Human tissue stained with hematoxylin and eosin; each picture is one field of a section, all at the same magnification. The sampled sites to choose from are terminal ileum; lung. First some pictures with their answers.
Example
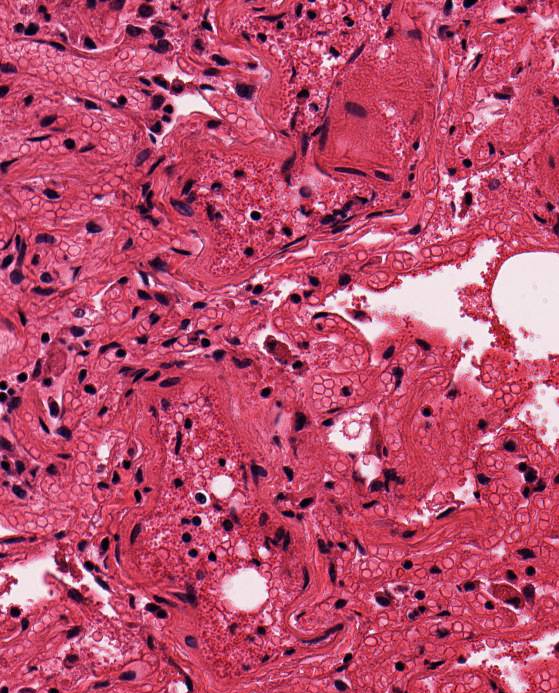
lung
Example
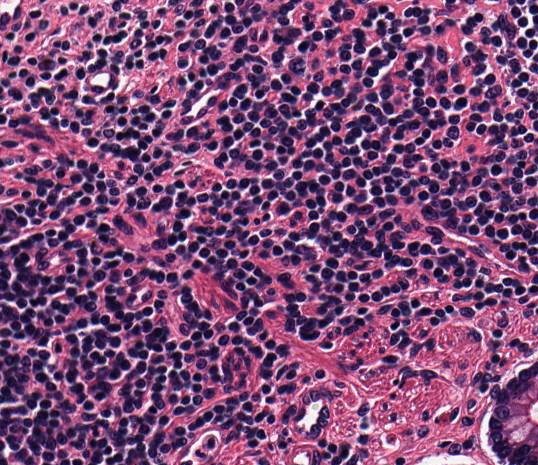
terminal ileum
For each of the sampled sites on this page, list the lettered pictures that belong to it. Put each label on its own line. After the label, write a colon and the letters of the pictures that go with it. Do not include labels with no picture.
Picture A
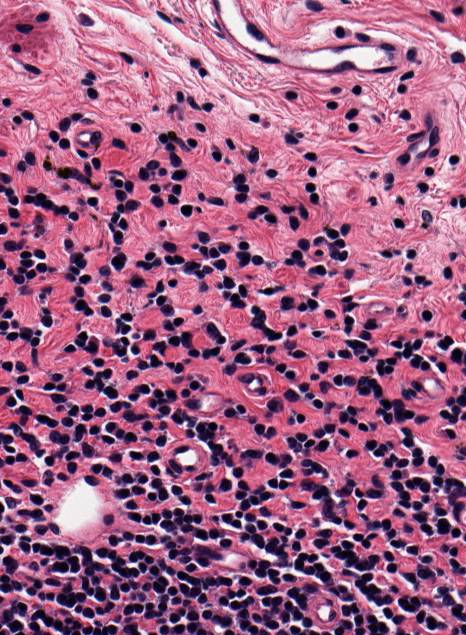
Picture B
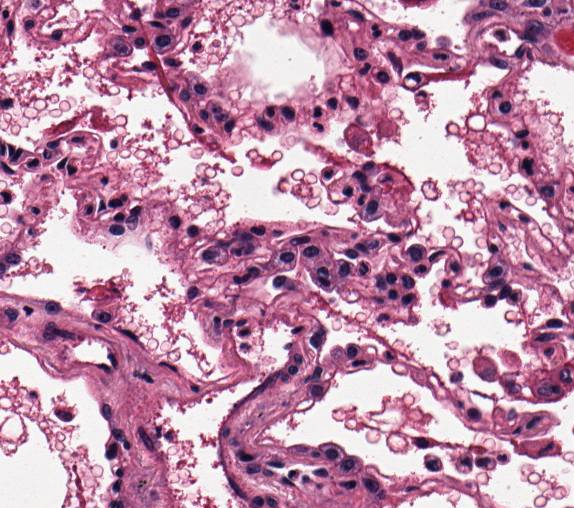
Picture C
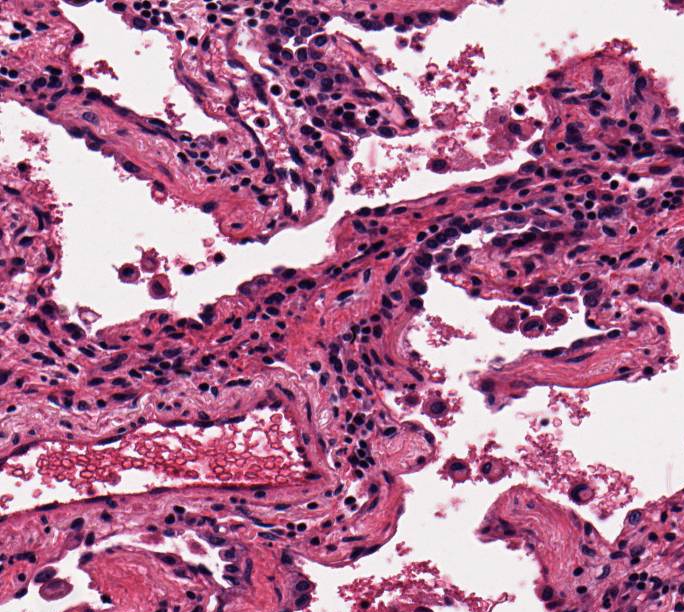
terminal ileum: A
lung: B, C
